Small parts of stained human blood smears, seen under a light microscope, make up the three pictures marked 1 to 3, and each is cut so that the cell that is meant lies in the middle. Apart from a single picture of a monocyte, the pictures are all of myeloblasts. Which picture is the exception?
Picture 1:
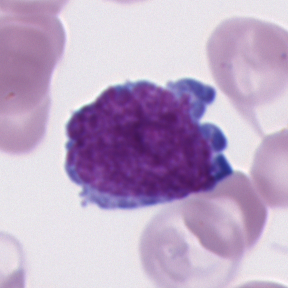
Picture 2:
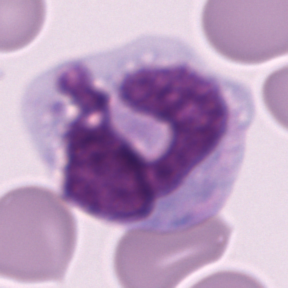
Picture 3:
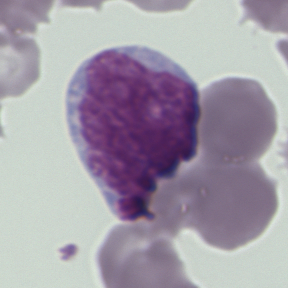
2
